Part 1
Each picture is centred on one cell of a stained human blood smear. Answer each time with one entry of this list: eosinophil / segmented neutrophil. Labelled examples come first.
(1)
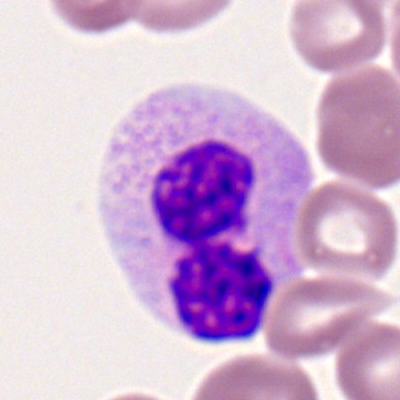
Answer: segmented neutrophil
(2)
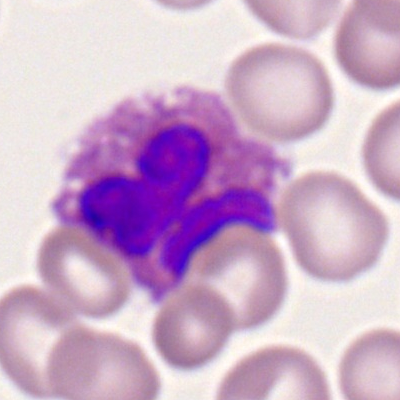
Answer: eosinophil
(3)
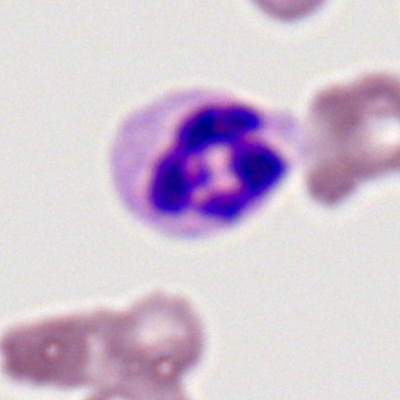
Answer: segmented neutrophil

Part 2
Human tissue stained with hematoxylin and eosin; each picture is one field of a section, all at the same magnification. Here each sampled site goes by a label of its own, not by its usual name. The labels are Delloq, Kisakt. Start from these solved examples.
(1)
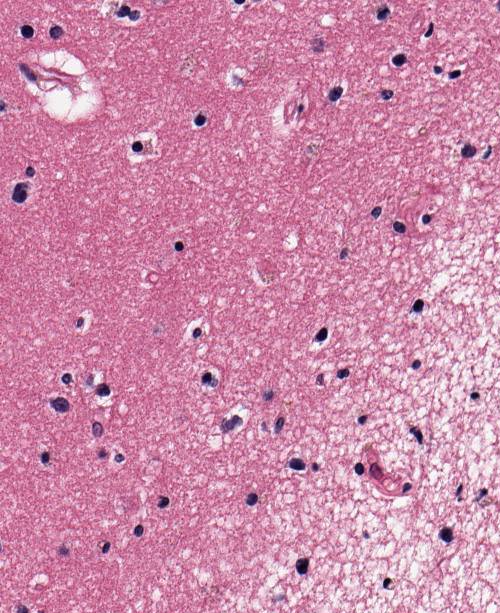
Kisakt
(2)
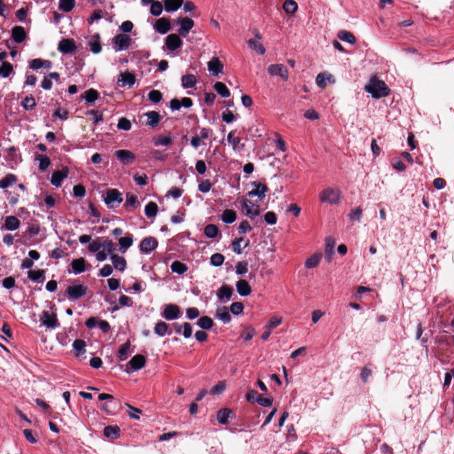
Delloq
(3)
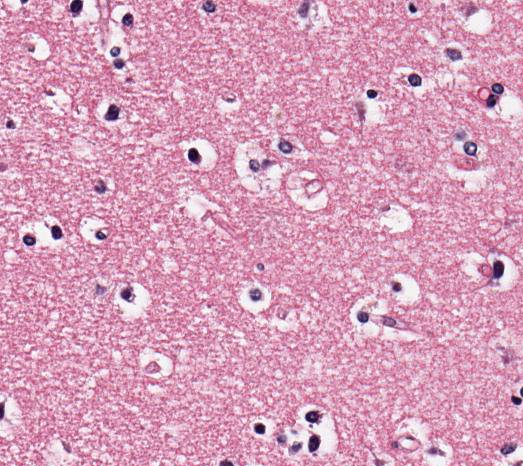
Kisakt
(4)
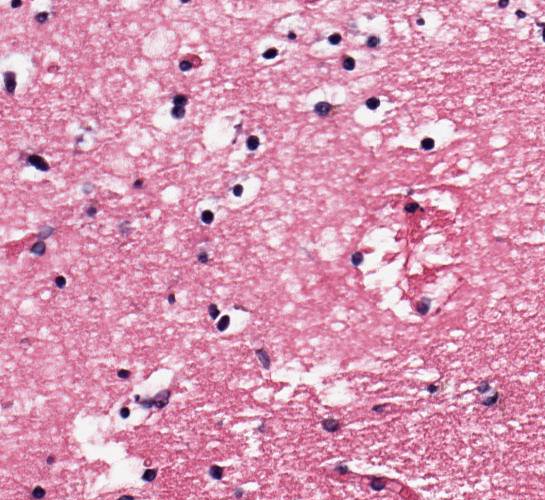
Kisakt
